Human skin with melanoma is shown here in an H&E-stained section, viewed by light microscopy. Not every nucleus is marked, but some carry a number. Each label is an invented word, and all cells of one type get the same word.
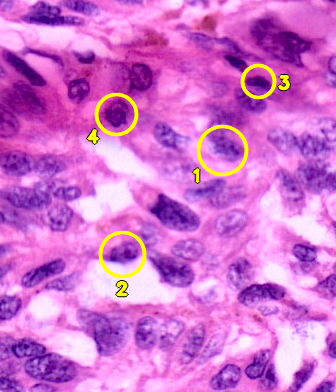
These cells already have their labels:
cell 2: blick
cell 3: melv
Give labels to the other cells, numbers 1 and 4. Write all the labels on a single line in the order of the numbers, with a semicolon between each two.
blick; blick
